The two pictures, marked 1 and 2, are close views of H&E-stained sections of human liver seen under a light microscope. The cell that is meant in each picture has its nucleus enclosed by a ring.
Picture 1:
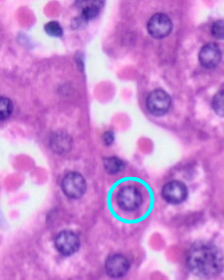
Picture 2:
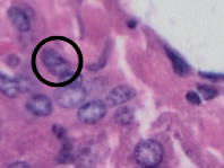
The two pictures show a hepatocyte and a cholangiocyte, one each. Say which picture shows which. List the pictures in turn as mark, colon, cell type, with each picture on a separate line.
1: hepatocyte
2: cholangiocyte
